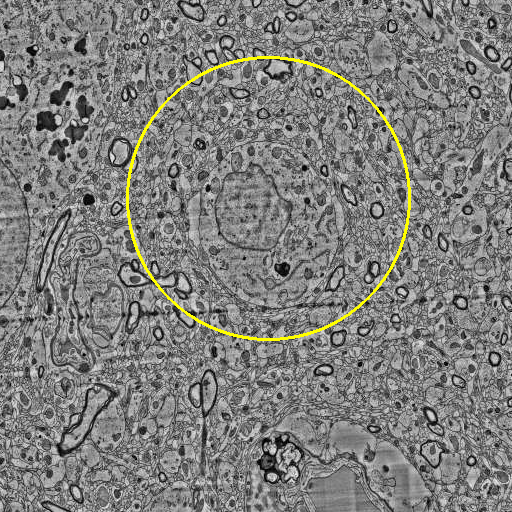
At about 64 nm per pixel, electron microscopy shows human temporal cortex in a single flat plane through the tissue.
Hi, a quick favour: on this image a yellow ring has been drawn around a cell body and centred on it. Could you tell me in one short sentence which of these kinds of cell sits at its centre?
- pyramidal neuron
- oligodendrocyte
The ring is centred on a pyramidal neuron.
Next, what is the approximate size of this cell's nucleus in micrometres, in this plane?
The nucleus of the ringed cell is approximately 5 micrometres across in this plane.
